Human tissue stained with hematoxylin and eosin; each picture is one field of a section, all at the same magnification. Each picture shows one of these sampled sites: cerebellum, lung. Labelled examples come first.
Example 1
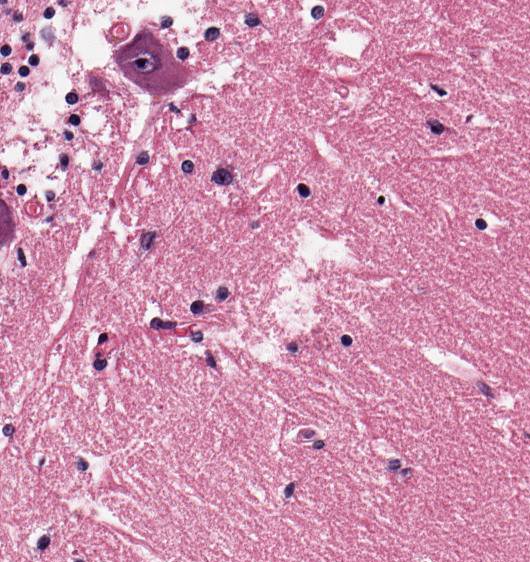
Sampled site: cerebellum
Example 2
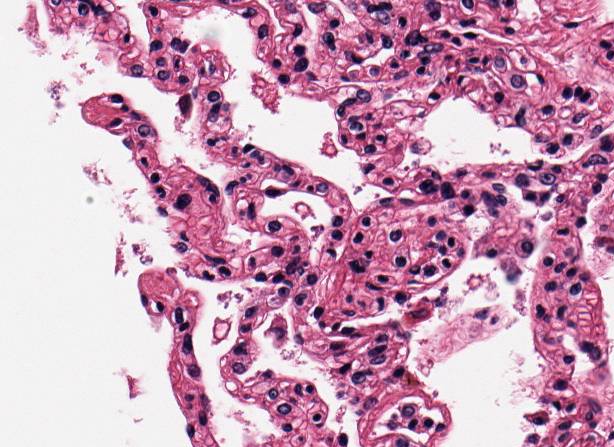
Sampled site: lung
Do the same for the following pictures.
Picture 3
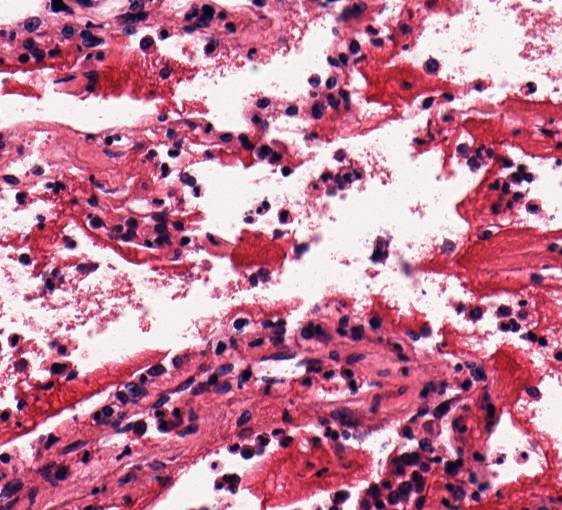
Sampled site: lung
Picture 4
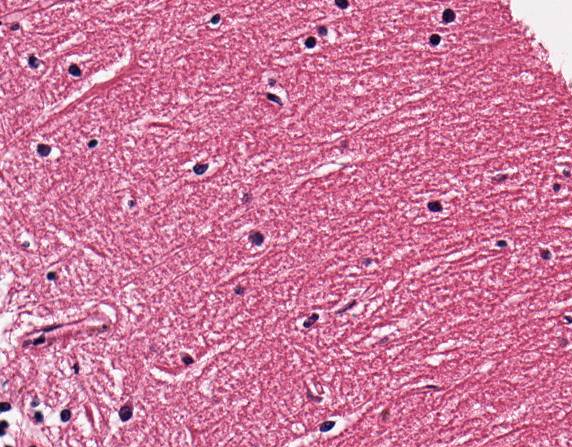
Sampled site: cerebellum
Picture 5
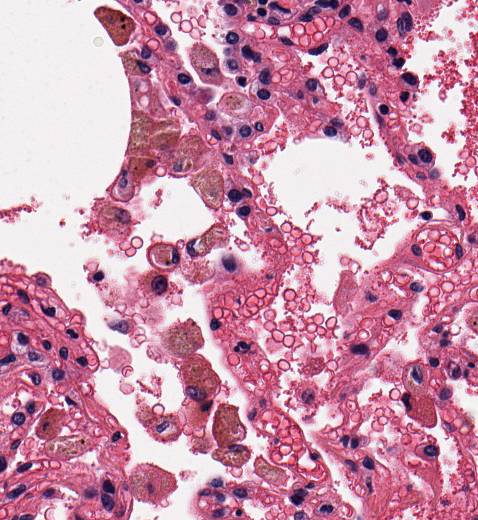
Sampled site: lung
